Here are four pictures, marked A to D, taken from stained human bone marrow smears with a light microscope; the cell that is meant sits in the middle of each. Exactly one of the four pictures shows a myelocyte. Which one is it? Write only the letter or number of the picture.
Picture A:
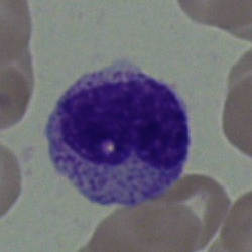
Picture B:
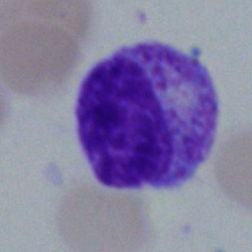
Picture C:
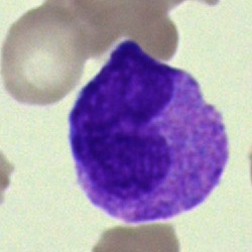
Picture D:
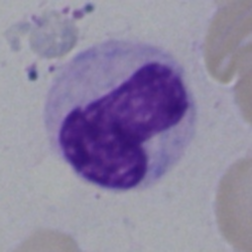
B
